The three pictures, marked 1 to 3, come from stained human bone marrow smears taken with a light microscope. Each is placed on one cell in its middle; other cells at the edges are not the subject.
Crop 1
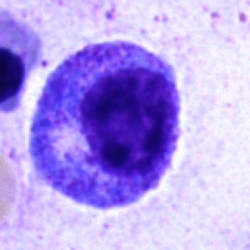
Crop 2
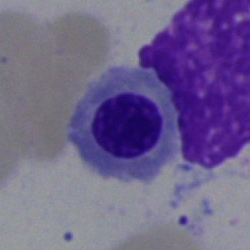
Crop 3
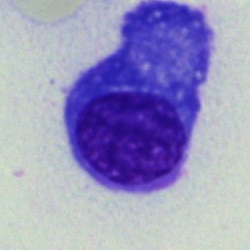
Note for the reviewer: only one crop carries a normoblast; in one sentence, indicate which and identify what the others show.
With respect to crop 2, the cell is a normoblast, whereas crop 1 is a promyelocyte and crop 3 is a plasma cell.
